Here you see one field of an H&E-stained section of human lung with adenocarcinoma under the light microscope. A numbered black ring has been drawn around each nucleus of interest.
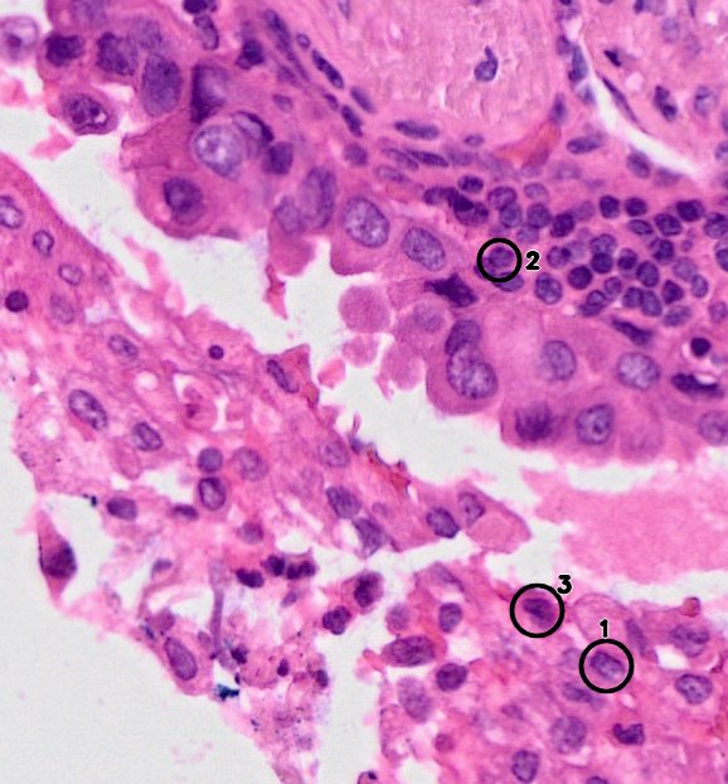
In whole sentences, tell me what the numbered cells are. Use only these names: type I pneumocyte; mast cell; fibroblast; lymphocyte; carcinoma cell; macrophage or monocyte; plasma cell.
Cell 1 is a macrophage or monocyte, cell 2 is a lymphocyte and cell 3 is a macrophage or monocyte.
